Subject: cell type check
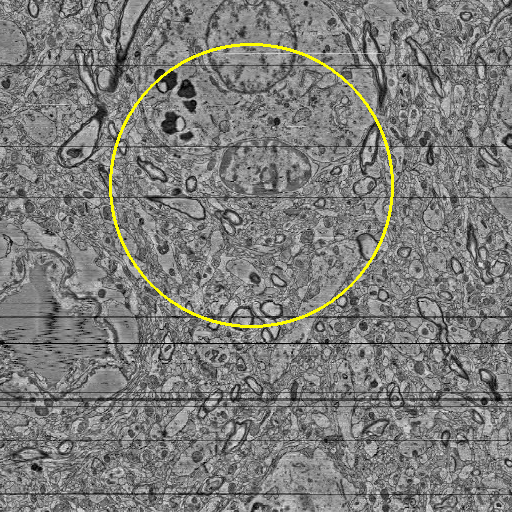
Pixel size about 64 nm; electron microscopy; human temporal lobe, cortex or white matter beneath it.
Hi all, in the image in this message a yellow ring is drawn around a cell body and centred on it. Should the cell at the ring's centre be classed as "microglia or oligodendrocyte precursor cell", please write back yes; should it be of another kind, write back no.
yes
